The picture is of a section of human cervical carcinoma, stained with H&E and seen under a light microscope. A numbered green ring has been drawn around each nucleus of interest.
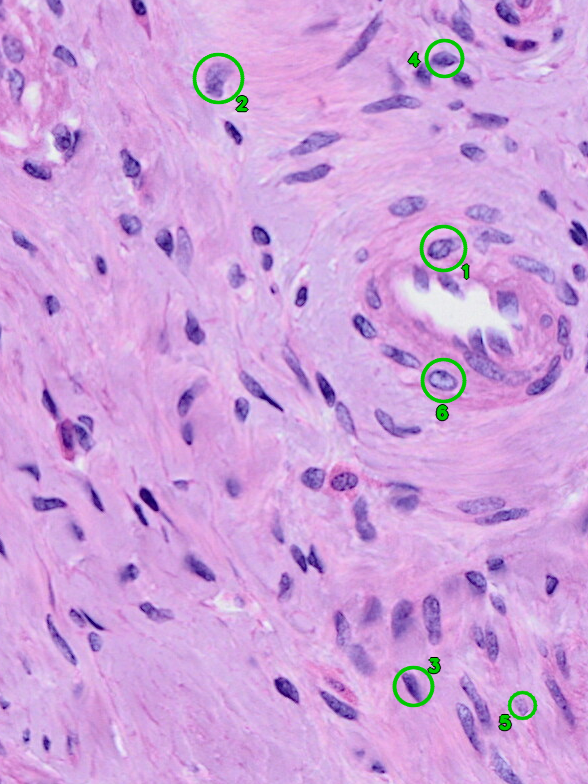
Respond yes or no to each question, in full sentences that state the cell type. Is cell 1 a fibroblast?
No, cell 1 is not a fibroblast: it is a smooth muscle cell.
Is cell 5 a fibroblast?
No, number 5 is not a fibroblast but a smooth muscle cell.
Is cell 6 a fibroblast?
No, it is a smooth muscle cell, not a fibroblast, at number 6.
